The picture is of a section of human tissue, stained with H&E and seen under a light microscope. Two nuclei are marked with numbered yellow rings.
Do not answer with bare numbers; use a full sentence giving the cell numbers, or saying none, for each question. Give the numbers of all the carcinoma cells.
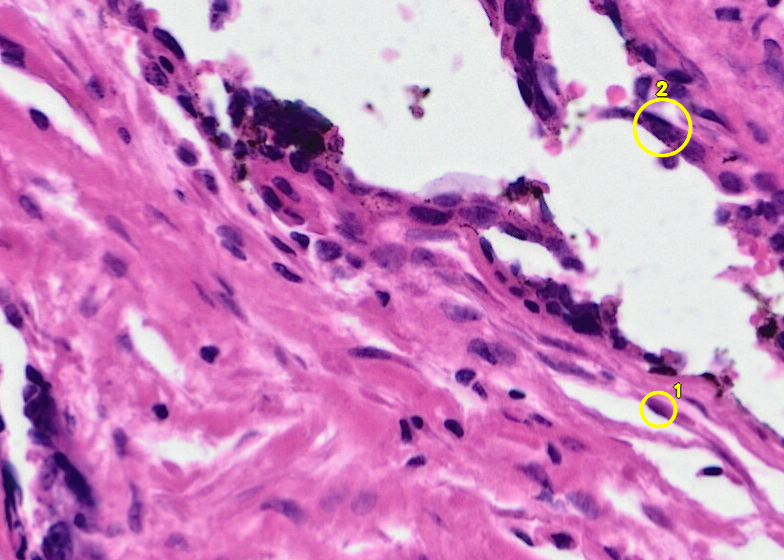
Only one choice fits: cell 2 is a carcinoma cell, and no other.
